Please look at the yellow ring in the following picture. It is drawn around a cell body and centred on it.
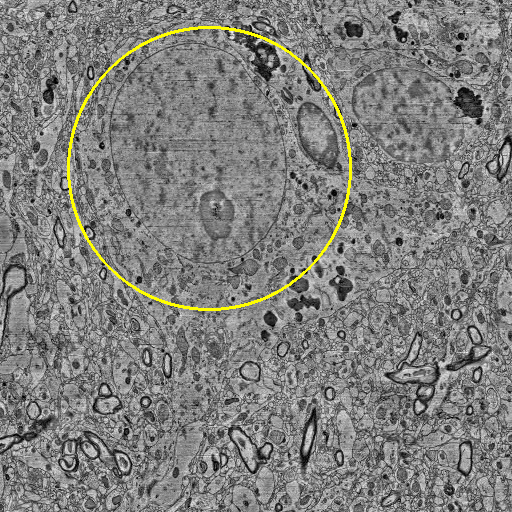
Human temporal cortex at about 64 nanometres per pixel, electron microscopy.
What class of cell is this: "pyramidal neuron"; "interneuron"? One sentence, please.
The ring surrounds the cell body of a pyramidal neuron.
